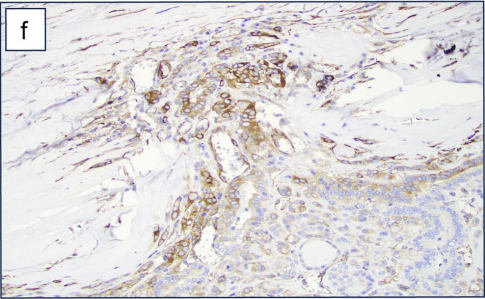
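Fibrous capsule tissue of a follicular thyroid tumour with wavy pale collagen bands and spindle-shaped cells, into which nests and small follicles of epithelial tumour cells extend. The invading epithelial clusters show strong brown cytoplasmic staining, and elongated stromal cells in the fibrous bands are also brown, while the tumour follicles at lower right are paler with blue nuclei.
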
